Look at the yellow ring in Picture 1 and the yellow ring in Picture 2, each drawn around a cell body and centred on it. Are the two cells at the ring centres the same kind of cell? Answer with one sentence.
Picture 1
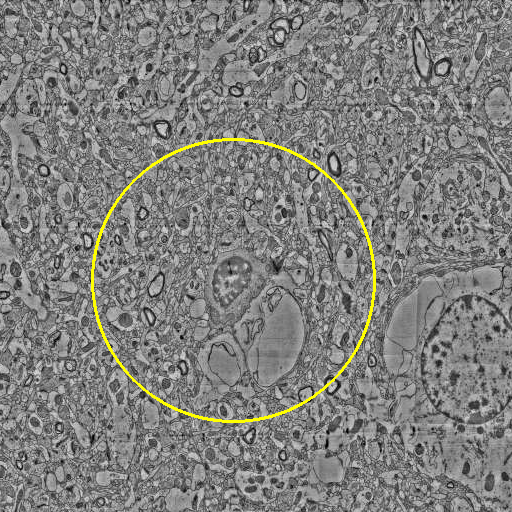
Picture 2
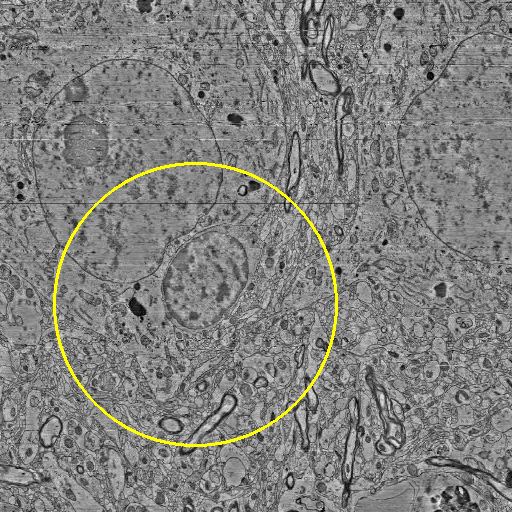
Yes, both are the same kind of cell.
